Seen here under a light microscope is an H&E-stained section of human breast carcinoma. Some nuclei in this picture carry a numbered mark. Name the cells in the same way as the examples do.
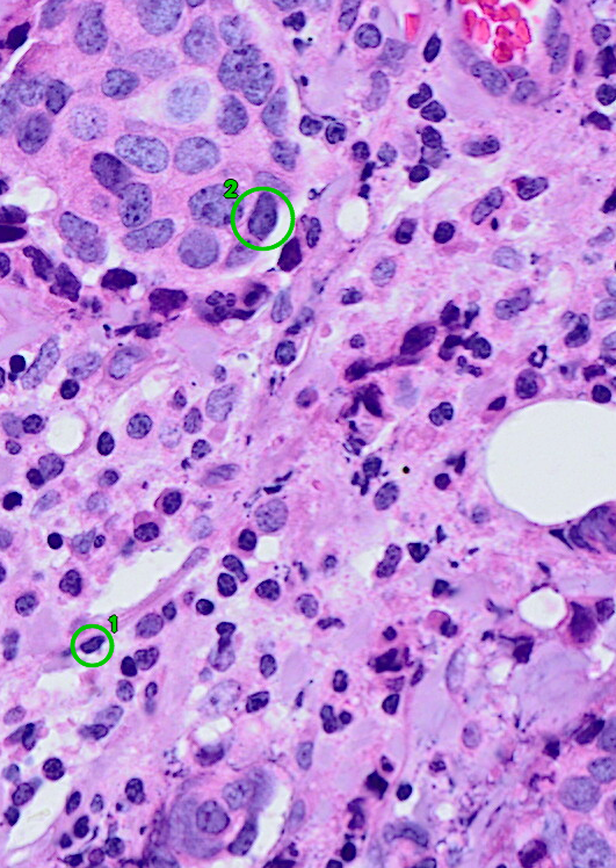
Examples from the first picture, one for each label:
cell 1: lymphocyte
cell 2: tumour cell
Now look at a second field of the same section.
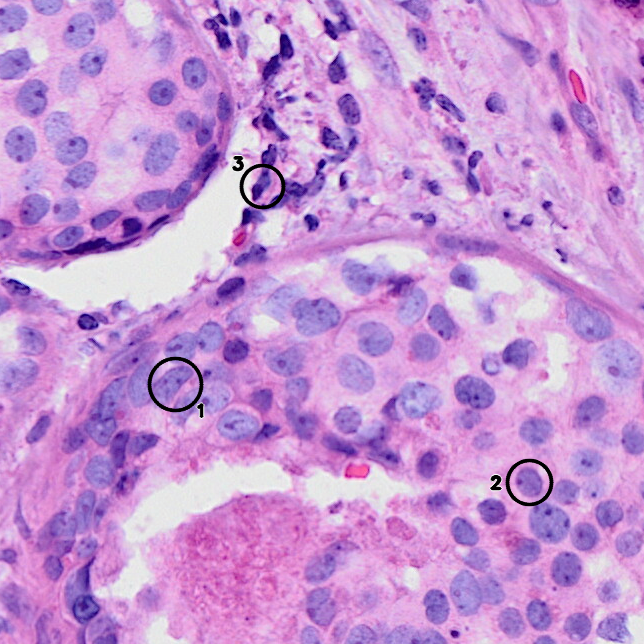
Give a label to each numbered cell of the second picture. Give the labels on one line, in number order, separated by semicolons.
tumour cell; tumour cell; lymphocyte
